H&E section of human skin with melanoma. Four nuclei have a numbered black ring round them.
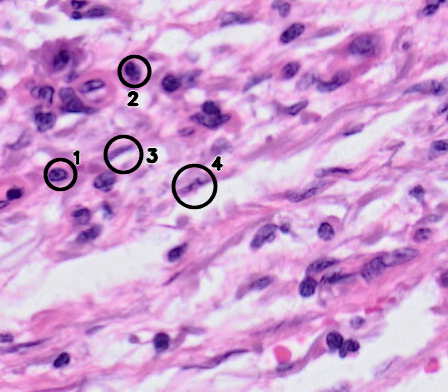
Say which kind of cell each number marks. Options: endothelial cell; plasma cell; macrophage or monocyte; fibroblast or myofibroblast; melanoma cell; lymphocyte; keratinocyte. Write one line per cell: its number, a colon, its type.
1: plasma cell
2: plasma cell
3: fibroblast or myofibroblast
4: fibroblast or myofibroblast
